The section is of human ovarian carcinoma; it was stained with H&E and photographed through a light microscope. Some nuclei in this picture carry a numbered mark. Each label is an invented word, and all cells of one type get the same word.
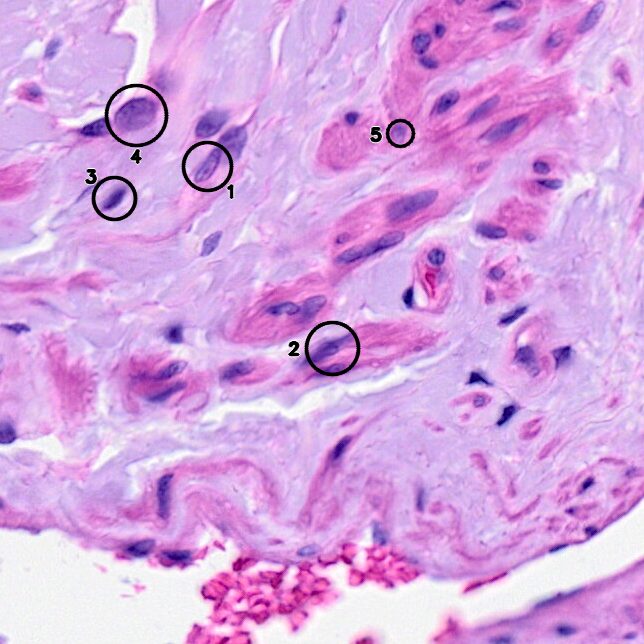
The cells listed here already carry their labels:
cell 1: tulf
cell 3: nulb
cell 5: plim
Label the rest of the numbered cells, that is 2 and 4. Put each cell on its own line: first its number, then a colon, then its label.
2: plim
4: tulf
